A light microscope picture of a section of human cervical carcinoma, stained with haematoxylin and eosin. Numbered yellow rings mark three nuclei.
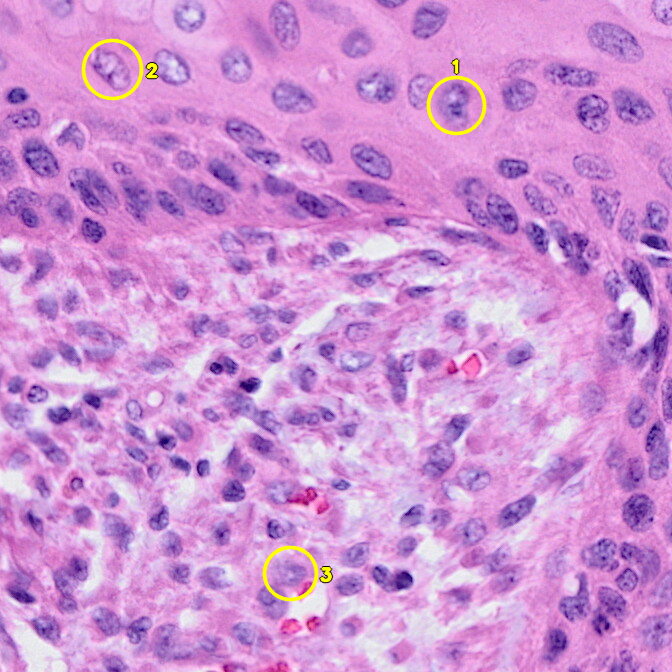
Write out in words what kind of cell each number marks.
Cell 1 is a squamous carcinoma cell, cell 2 is a squamous carcinoma cell and cell 3 is an endothelial cell.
